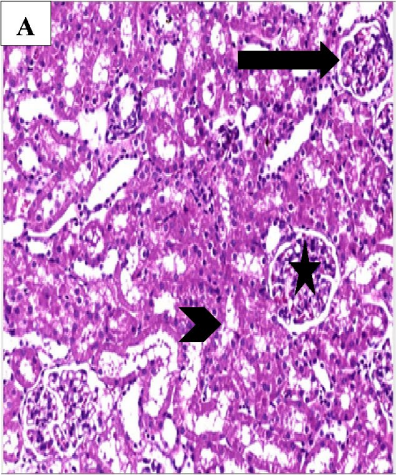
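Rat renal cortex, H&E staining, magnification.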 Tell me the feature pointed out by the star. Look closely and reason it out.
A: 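The star sits on a round tuft of densely packed nuclei. The tuft is surrounded by a thin clear space and a thin wall.
Glomeruli.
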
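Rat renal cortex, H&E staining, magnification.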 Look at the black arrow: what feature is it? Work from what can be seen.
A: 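The arrow points to the thin outer wall enclosing a round tuft. A narrow clear space lies between the wall and the tuft. That points to this answer: Bowman's capsule.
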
